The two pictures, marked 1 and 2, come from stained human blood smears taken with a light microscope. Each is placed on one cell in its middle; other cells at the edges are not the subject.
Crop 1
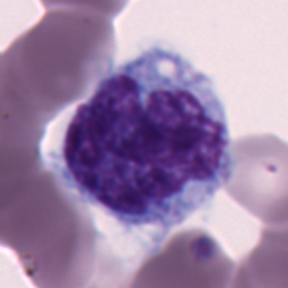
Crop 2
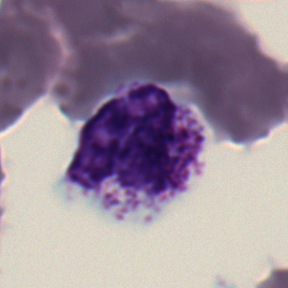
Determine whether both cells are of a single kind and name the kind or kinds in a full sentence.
No, crop 2 centres on a segmented neutrophil, and crop 1 centres on a monocyte.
